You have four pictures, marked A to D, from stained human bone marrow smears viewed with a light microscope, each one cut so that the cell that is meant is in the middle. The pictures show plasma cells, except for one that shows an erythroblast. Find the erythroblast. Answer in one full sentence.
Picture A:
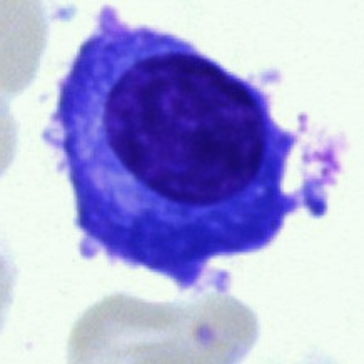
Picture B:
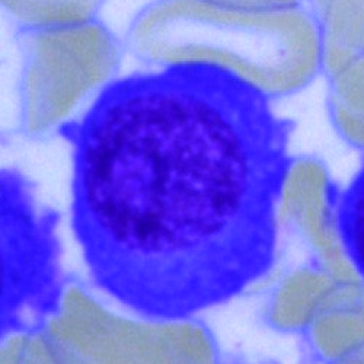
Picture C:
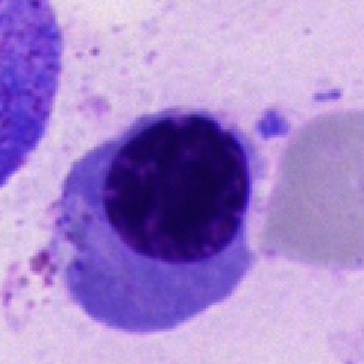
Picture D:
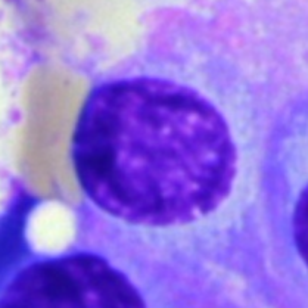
The erythroblast is the one in picture C.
